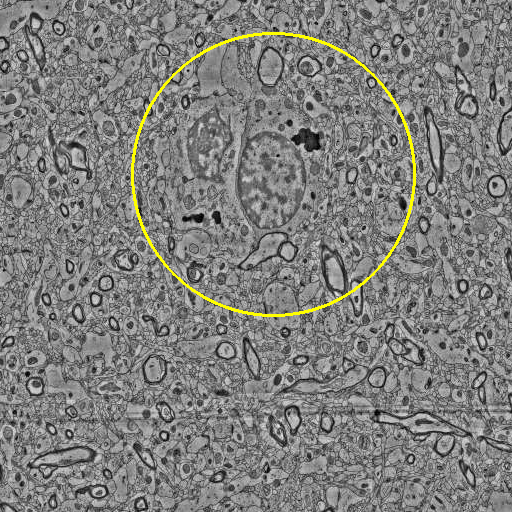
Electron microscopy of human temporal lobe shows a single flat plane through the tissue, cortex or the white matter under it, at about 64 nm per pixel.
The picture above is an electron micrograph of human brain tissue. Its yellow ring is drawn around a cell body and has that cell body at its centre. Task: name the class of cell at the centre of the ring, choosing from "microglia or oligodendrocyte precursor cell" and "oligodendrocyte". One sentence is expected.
The ring surrounds the body of an oligodendrocyte.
